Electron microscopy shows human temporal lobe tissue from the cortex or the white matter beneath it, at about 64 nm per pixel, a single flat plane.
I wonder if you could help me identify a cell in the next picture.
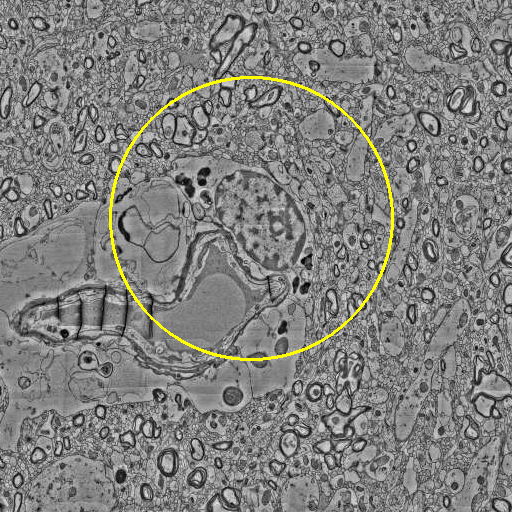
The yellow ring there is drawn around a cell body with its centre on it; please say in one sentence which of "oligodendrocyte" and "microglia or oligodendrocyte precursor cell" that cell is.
The yellow ring is centred on a microglial cell or oligodendrocyte precursor cell.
